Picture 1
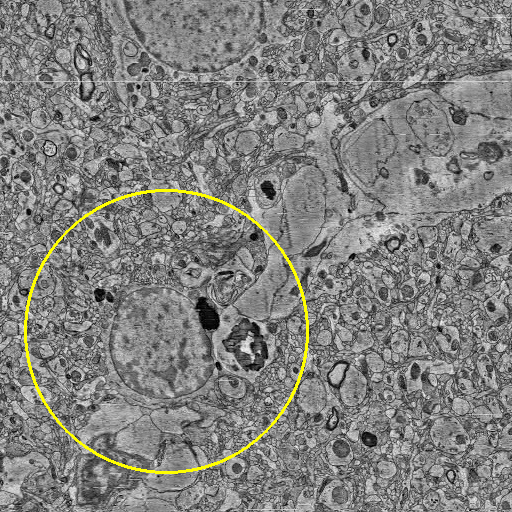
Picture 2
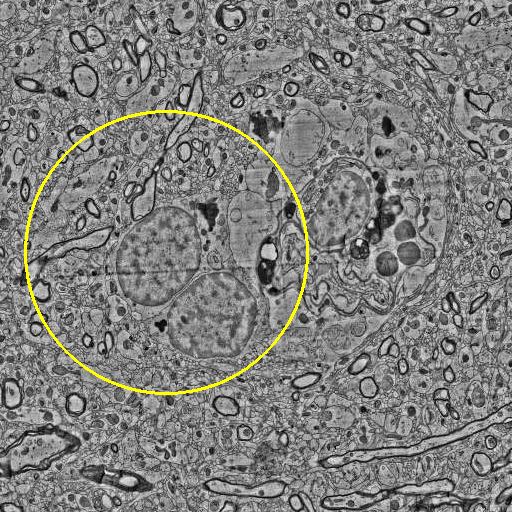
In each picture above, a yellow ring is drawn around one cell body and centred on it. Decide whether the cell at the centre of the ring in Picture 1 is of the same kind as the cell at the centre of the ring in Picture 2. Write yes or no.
yes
